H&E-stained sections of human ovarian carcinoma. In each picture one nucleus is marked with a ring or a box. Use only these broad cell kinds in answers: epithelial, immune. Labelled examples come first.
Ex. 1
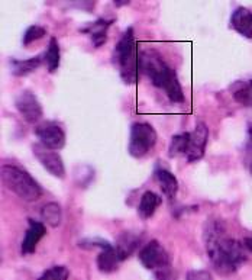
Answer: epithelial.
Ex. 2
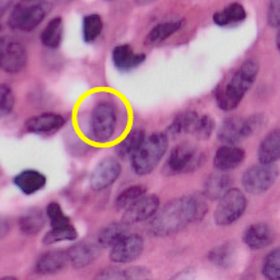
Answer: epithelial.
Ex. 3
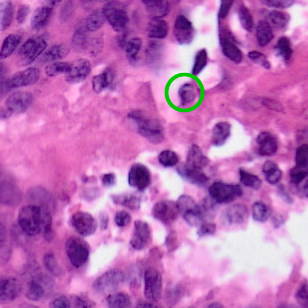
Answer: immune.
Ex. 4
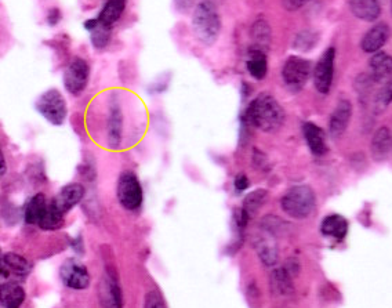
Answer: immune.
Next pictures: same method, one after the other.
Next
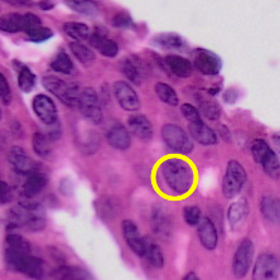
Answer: epithelial.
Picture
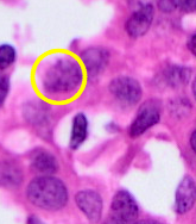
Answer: epithelial.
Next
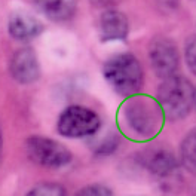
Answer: epithelial.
